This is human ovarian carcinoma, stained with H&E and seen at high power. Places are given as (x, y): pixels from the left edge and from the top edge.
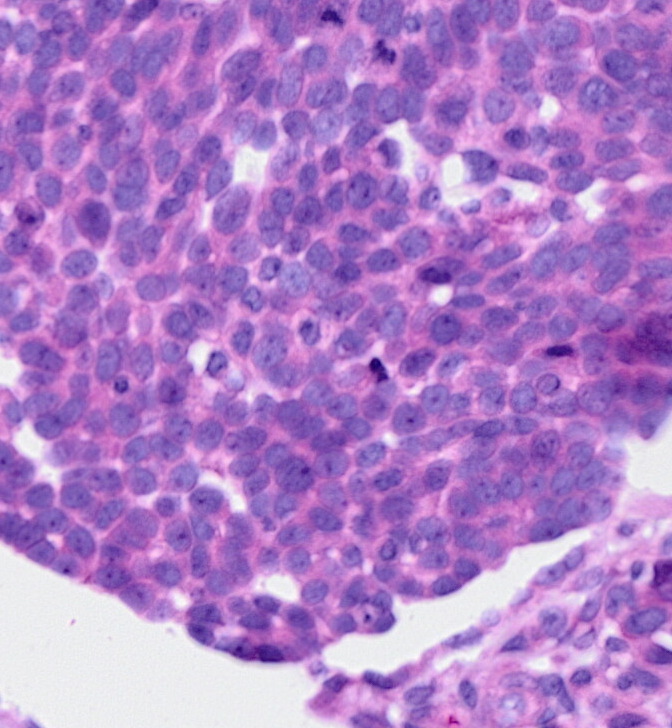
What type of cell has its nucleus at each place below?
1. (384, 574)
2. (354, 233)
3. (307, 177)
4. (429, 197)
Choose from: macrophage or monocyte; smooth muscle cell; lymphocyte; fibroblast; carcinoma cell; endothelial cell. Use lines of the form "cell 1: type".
cell 1: carcinoma cell
cell 2: carcinoma cell
cell 3: carcinoma cell
cell 4: macrophage or monocyte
